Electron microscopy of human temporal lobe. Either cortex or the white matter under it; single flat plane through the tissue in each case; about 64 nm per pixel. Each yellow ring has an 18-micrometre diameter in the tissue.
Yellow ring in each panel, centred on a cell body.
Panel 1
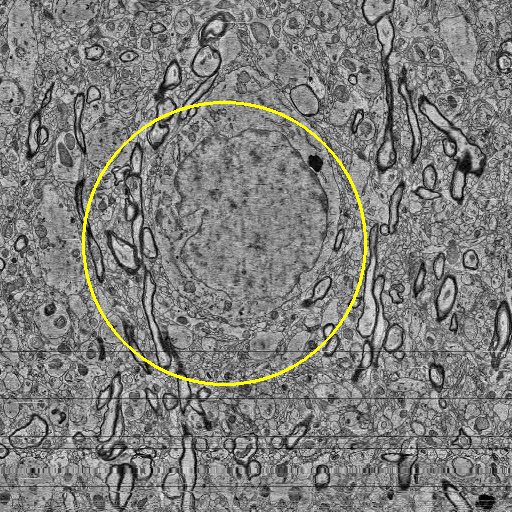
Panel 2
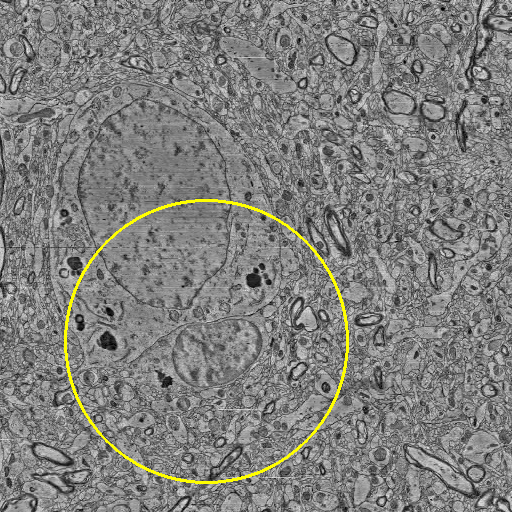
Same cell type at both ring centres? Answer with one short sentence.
No, the two cells are of two types.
